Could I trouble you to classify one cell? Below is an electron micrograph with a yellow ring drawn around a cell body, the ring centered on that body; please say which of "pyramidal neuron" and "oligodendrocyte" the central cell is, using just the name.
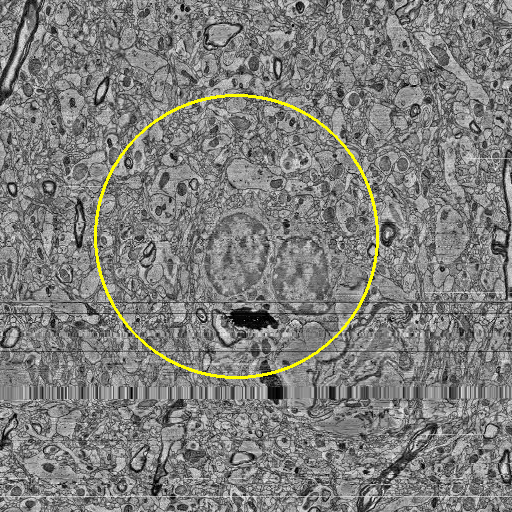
oligodendrocyte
